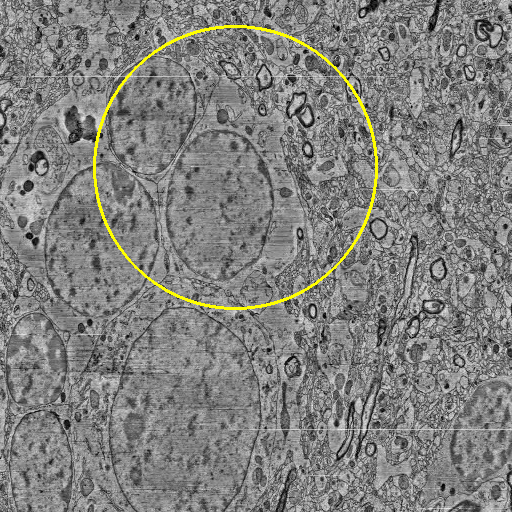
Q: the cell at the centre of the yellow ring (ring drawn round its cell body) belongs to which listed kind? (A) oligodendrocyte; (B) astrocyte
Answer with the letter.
B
